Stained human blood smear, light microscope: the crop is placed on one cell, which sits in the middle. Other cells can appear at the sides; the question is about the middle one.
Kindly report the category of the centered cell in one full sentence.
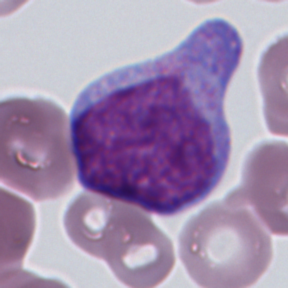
Among the cells in view, the one in the middle is an atypical promyelocyte.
